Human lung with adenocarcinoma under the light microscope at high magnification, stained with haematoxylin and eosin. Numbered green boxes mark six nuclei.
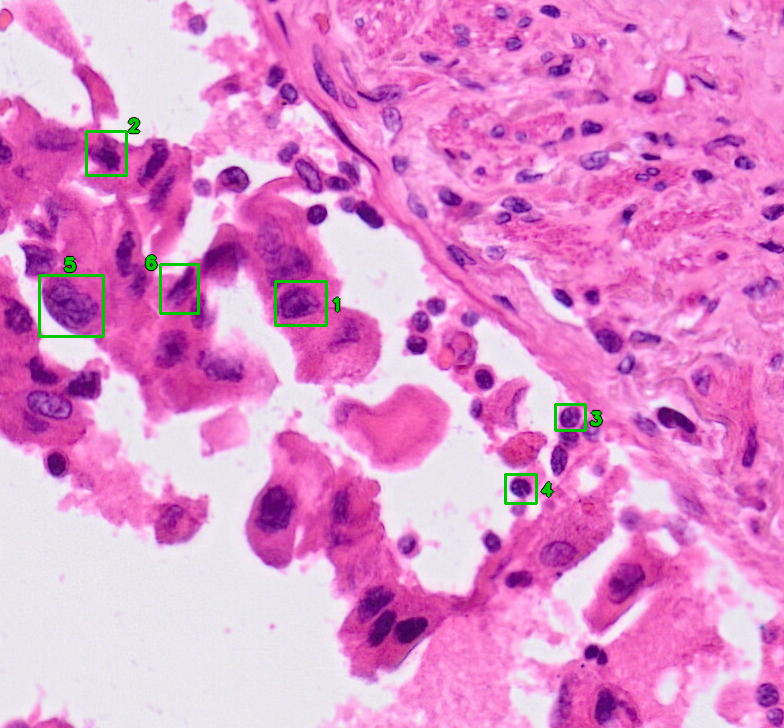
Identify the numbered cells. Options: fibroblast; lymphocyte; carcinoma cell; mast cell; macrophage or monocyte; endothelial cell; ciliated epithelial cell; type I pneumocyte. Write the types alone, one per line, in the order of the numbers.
carcinoma cell
carcinoma cell
lymphocyte
lymphocyte
carcinoma cell
carcinoma cell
